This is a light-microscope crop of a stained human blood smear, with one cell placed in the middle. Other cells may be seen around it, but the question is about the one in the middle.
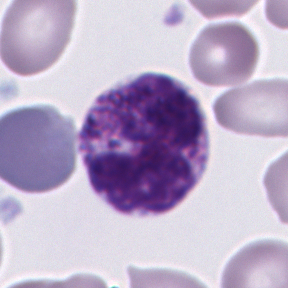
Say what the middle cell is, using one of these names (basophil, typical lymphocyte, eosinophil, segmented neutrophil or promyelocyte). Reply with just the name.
basophil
